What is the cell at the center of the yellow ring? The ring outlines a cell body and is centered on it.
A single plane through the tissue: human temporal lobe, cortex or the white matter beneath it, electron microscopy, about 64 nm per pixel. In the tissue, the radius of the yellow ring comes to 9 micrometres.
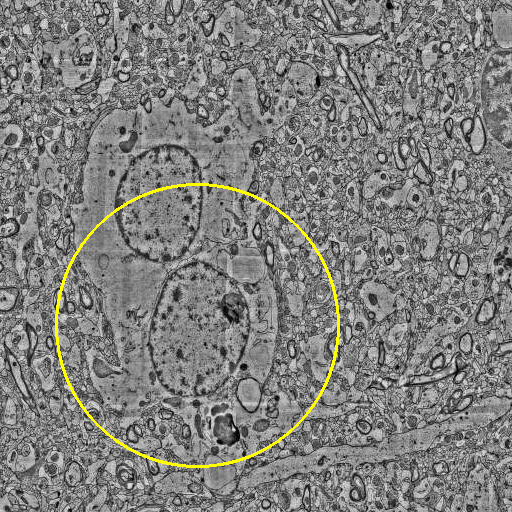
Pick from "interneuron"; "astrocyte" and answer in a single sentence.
The yellow ring is centered on an astrocyte.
